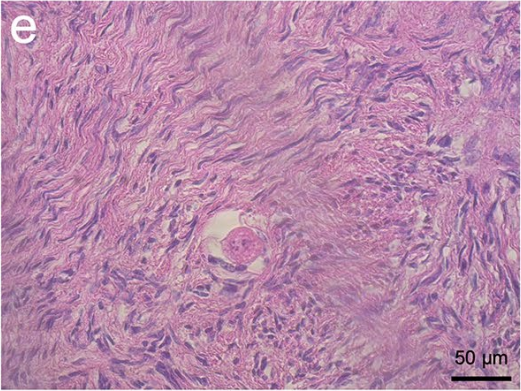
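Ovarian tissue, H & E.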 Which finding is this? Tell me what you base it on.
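A round pink oocyte lies inside a larger clear space at the centre. The oocyte does not fill the space around it.
Answer: shrunken oocytes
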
